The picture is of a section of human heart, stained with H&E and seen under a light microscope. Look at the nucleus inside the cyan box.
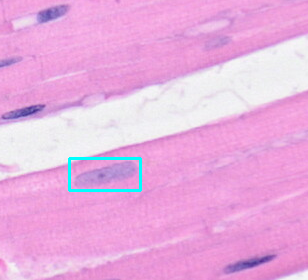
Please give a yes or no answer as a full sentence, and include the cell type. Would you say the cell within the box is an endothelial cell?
No, it is not as an endothelial cell but as a cardiomyocyte that the cell within the box is classed.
